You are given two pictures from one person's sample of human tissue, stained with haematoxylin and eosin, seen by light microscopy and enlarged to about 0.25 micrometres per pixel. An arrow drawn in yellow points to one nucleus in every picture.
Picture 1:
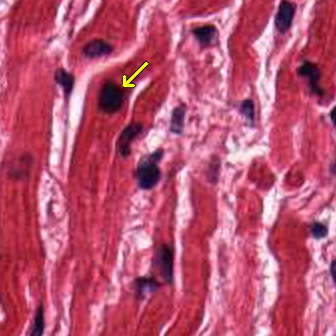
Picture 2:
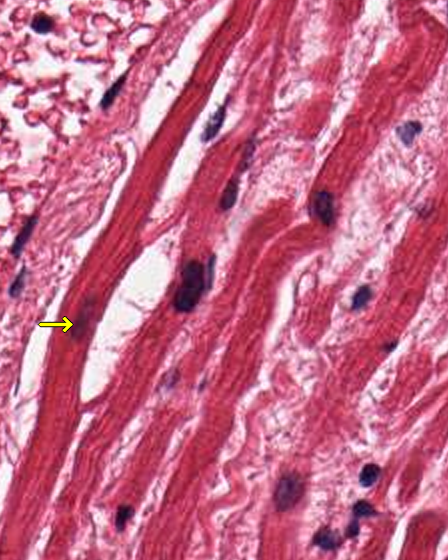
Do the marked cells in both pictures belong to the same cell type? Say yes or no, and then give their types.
Yes, both are cardiomyocytes.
